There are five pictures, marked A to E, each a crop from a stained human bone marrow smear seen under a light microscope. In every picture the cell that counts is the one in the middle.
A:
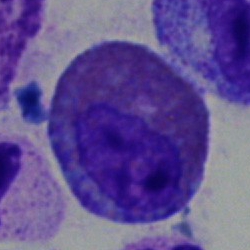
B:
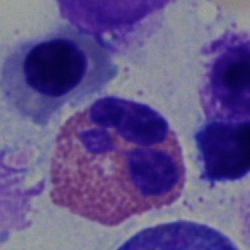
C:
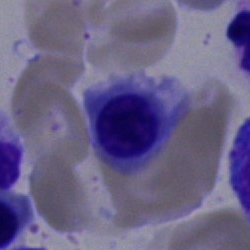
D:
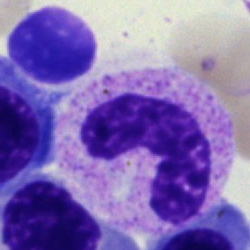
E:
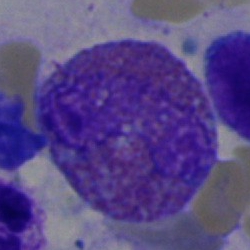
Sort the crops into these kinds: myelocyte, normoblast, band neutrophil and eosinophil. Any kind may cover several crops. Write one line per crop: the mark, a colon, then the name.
A: eosinophil
B: eosinophil
C: normoblast
D: band neutrophil
E: eosinophil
